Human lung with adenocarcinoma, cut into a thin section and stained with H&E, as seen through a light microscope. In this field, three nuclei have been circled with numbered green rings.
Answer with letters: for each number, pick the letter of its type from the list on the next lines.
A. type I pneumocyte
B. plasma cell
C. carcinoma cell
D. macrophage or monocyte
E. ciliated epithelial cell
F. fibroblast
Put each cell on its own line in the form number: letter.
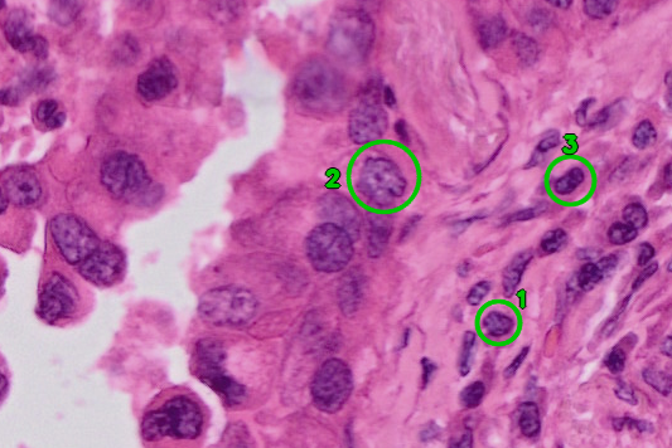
1: B
2: C
3: B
